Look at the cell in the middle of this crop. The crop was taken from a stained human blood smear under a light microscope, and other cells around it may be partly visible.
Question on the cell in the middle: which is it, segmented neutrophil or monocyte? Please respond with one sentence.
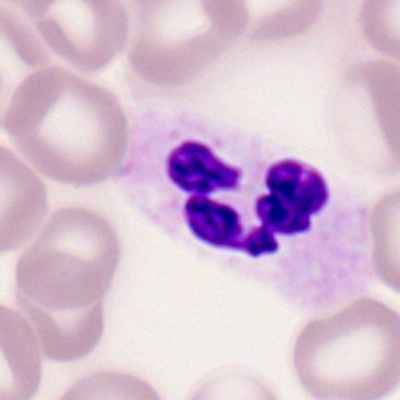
Present in the middle of the crop is a segmented neutrophil.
